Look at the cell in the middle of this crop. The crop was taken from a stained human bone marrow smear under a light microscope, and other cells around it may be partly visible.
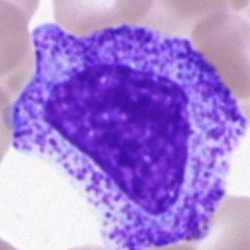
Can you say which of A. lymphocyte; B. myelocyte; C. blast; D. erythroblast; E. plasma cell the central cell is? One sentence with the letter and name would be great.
Option B is accurate; the centrally placed cell is a myelocyte.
